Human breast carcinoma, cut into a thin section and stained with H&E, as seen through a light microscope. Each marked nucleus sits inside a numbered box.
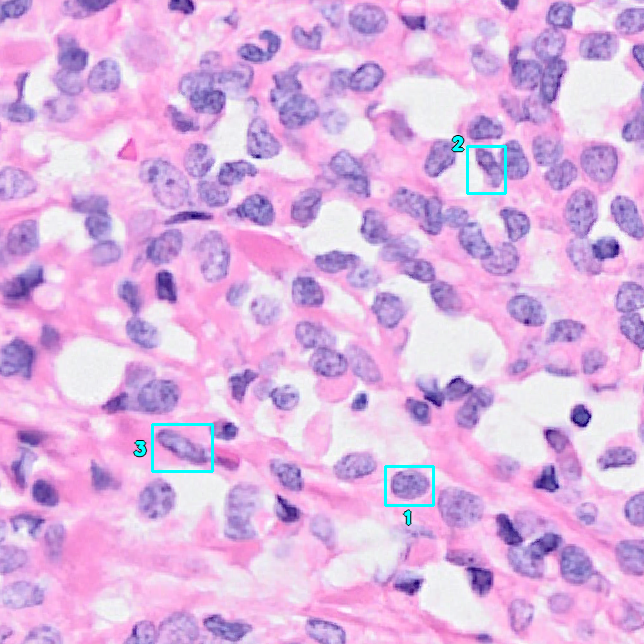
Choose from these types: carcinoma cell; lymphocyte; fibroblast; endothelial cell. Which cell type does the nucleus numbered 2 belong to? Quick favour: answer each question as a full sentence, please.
The nucleus labelled 2 belongs to a carcinoma cell.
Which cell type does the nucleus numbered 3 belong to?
Among the marked nuclei, number 3 belongs to an endothelial cell.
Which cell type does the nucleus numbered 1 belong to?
Cell 1 in the field of view is a carcinoma cell.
